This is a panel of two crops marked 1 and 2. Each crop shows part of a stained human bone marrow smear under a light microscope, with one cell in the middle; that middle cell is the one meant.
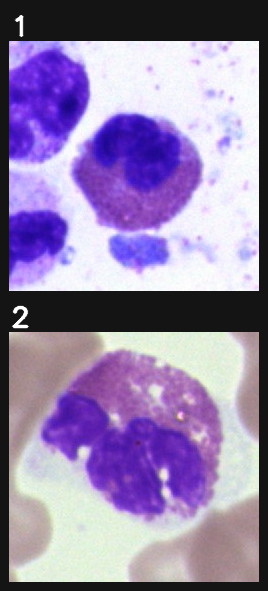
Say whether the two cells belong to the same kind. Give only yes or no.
yes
